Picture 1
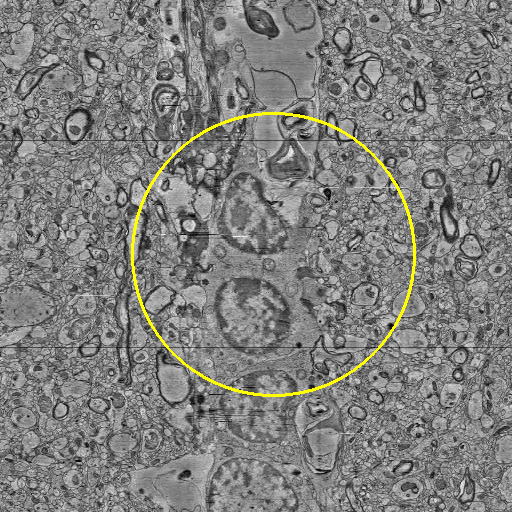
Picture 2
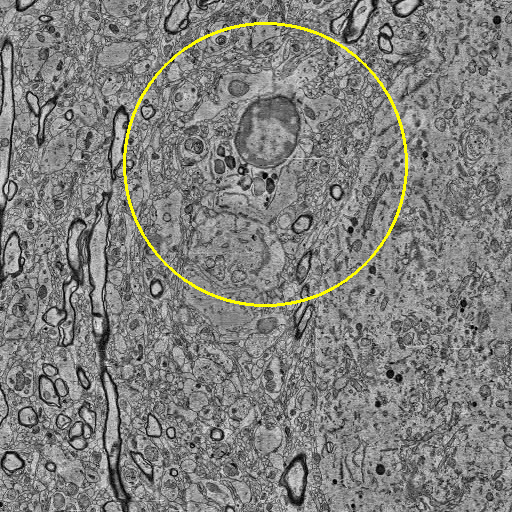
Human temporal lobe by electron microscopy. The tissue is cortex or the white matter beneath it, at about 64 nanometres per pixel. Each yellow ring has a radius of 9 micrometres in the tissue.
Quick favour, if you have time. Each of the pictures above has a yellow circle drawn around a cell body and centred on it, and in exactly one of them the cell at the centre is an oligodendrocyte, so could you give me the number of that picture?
1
